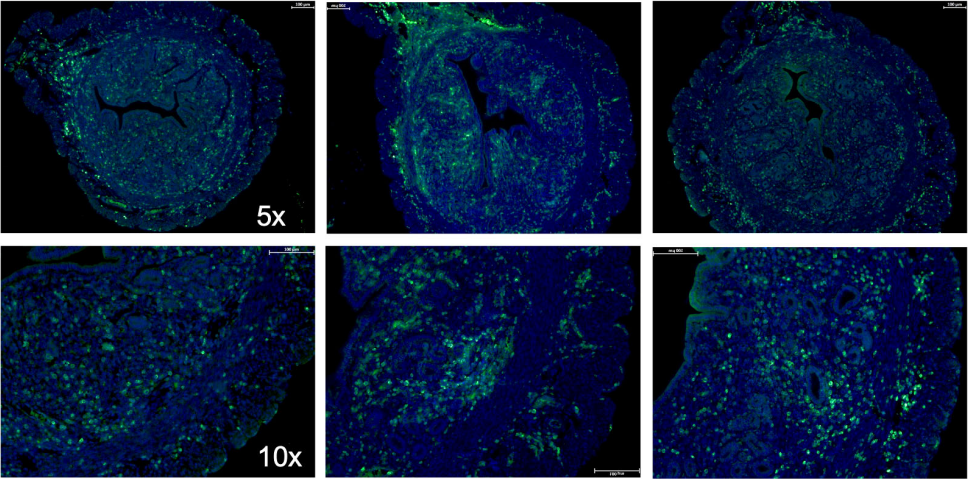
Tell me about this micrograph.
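The lumen is surrounded by a broad, densely nucleated stroma and, at the periphery, by a thinner outer layer whose outer edge is scalloped. Blue nuclei fill the whole section. Green cells are scattered throughout the stroma as small, round, individually separated cells, and some also lie toward the outer layers. At higher power, the green cells appear as discrete dots among the much more numerous blue nuclei.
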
